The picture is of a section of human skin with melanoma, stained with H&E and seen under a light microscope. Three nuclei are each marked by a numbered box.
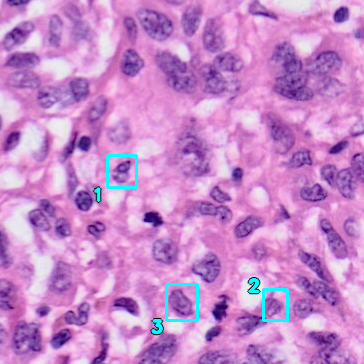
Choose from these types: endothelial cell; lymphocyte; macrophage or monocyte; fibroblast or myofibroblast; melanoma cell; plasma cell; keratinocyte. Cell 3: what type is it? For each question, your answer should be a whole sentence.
The nucleus marked 3 is the nucleus of a melanoma cell.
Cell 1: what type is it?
The cell numbered 1 represents a lymphocyte.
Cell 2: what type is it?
The nucleus labelled 2 belongs to a melanoma cell.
